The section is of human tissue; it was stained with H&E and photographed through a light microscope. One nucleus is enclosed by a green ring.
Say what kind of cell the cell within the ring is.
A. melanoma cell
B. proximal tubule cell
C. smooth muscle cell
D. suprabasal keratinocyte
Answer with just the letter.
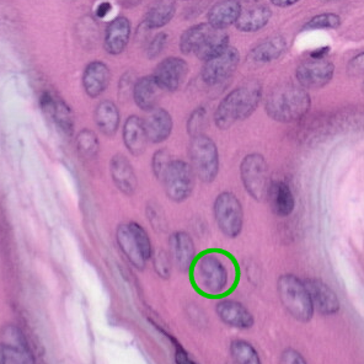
D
